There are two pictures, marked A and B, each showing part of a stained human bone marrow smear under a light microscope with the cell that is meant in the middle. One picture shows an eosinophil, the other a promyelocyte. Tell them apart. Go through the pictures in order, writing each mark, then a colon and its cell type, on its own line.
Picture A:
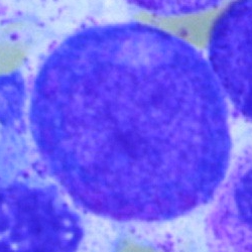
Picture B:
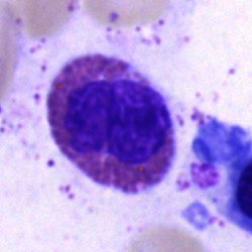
A: promyelocyte
B: eosinophil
